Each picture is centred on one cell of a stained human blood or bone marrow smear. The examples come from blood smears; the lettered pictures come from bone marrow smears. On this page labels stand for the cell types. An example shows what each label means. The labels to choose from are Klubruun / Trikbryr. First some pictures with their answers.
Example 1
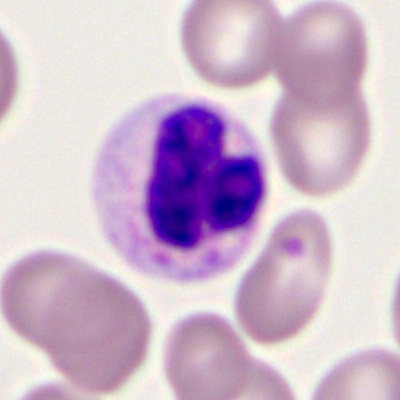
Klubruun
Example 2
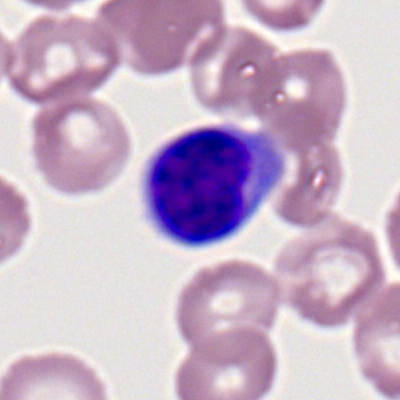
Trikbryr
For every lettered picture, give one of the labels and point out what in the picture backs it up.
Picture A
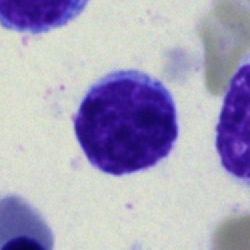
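Label: Trikbryr. The nucleus fills almost the whole cell.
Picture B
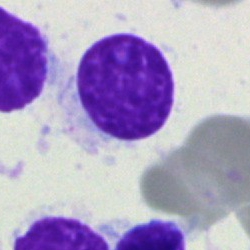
Label: Trikbryr. The cytoplasm is scant compared with the large nucleus.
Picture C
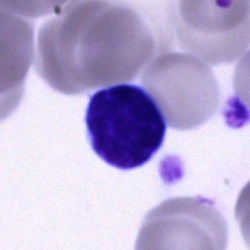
Label: Trikbryr. The nucleus fills almost the whole cell.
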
